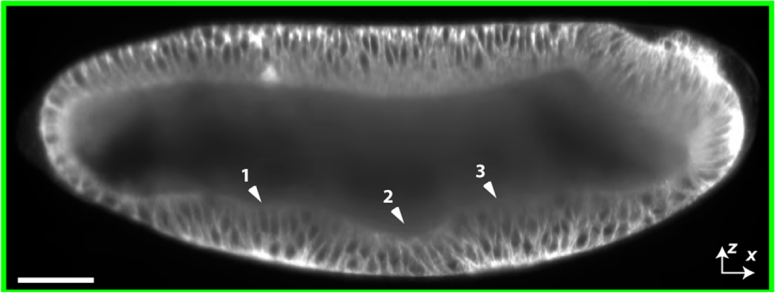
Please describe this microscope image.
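This is a lengthwise optical section of a fruit fly embryo, with a single layer of tall columnar cells forming a rim around the dark central yolk. At the middle arrowhead the layer stays comparatively flat, without a clear inward fold.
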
